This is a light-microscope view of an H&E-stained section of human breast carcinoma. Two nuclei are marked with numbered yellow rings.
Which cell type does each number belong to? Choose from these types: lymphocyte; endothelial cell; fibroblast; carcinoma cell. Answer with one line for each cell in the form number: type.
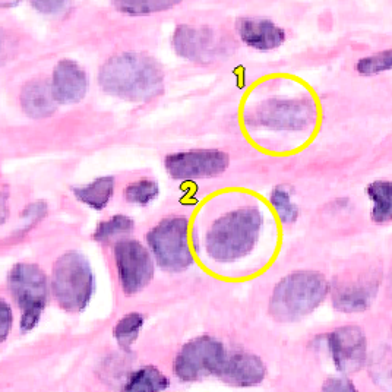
1: fibroblast
2: carcinoma cell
